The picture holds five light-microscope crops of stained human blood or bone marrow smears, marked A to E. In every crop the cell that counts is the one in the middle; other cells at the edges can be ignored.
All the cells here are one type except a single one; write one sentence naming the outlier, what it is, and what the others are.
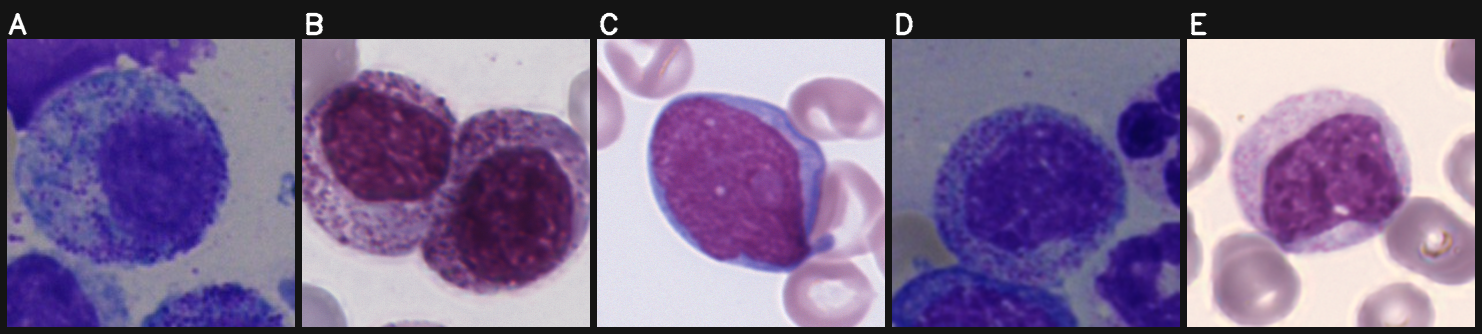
The single exception among the crops is crop C, which is a blast; the rest show myelocytes.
